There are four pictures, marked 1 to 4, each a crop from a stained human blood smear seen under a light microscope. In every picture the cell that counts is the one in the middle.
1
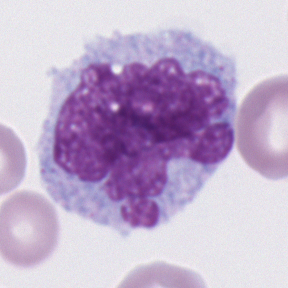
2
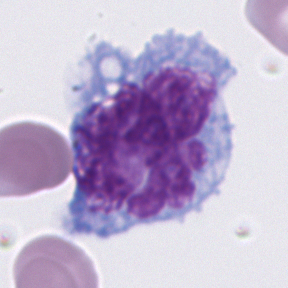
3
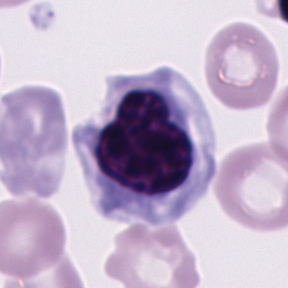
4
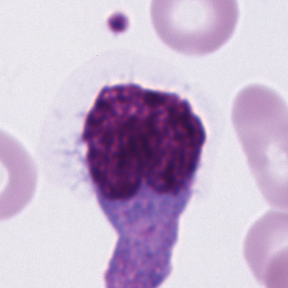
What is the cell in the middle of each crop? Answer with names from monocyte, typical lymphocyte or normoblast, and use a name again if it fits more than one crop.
1: monocyte
2: monocyte
3: normoblast
4: monocyte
